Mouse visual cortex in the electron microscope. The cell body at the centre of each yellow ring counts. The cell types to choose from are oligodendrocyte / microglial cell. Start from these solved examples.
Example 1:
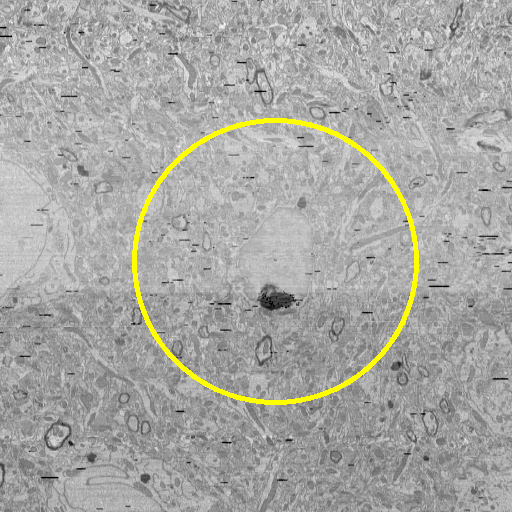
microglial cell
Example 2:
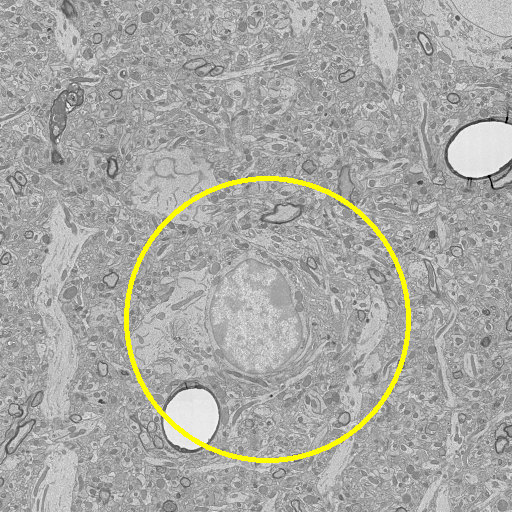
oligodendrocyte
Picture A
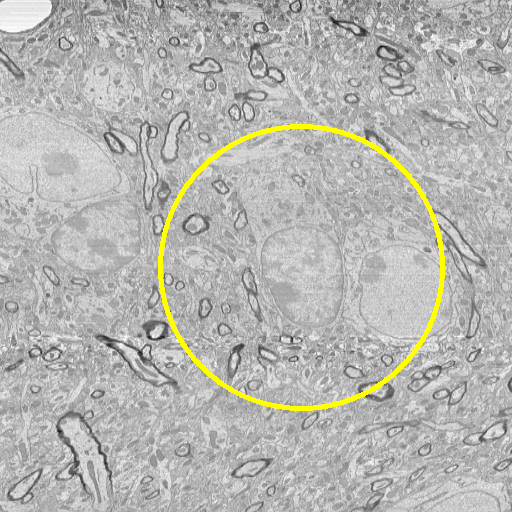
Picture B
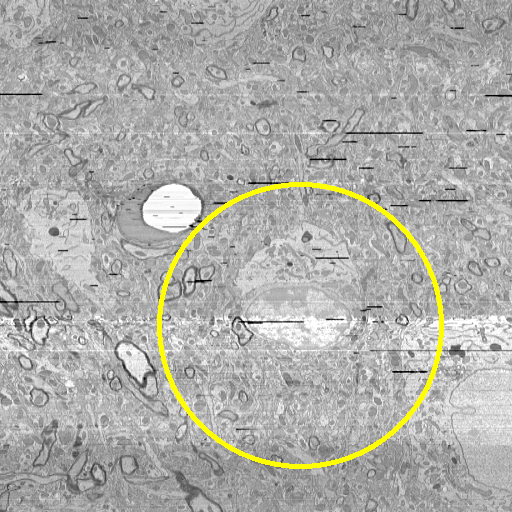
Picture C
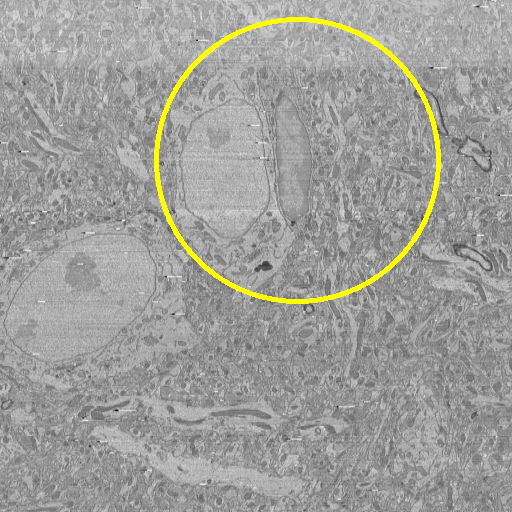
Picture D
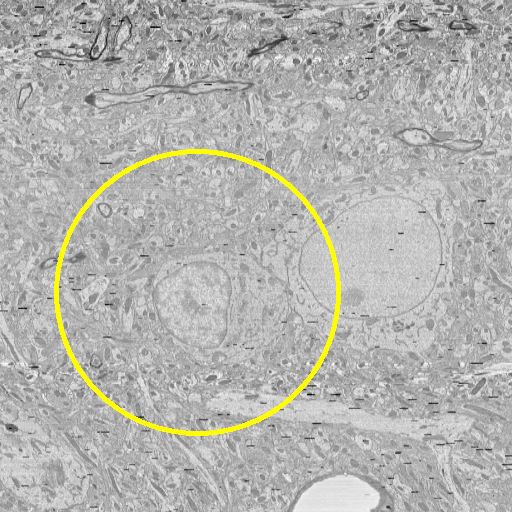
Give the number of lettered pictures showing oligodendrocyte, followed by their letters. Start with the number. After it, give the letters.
3, namely A, B, D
